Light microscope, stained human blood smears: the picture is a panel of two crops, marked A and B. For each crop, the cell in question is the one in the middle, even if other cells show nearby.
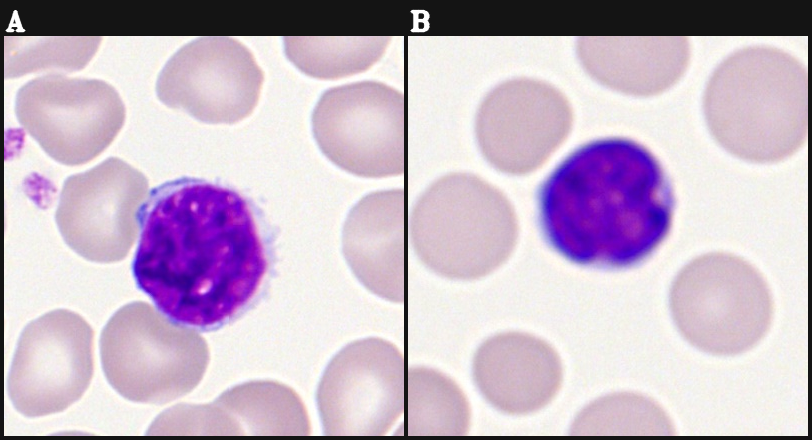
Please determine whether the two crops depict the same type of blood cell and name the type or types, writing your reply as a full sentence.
Yes, what both crops show at their centres are lymphocytes.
